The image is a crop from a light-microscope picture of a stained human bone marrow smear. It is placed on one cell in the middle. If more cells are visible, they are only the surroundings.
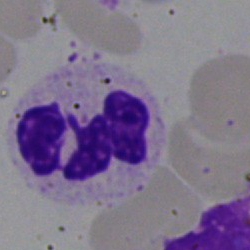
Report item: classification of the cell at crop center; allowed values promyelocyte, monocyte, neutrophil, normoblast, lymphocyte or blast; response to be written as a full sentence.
The cell featured at the centre of this crop is a neutrophil.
